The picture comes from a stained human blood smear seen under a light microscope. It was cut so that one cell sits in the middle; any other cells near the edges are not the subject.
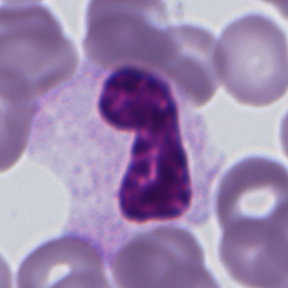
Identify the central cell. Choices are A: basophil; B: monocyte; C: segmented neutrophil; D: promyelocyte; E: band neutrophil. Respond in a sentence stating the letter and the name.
With the cell in the middle being a band neutrophil, option E is the correct choice.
